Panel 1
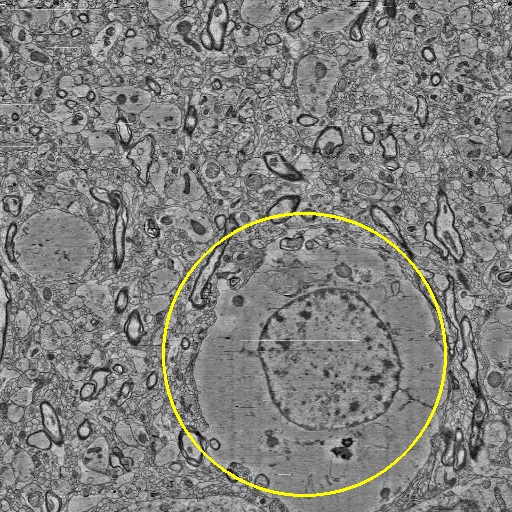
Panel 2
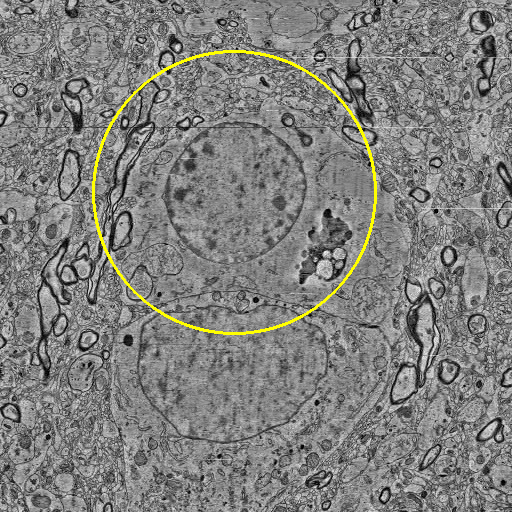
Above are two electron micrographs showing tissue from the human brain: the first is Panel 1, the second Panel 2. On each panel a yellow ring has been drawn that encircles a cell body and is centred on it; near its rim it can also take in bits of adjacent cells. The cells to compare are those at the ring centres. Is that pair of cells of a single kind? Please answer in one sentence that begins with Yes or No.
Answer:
Yes, the ring-centred cells of Panel 1 and Panel 2 belong to one kind.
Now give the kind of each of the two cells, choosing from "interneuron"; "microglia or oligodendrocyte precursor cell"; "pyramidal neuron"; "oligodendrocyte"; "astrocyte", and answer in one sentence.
Both rings mark an astrocyte, one in each picture.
